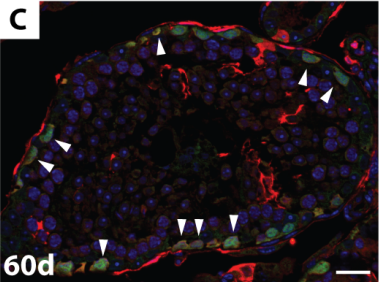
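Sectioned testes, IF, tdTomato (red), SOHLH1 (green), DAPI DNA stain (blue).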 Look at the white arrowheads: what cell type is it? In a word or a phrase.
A: Germ cells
